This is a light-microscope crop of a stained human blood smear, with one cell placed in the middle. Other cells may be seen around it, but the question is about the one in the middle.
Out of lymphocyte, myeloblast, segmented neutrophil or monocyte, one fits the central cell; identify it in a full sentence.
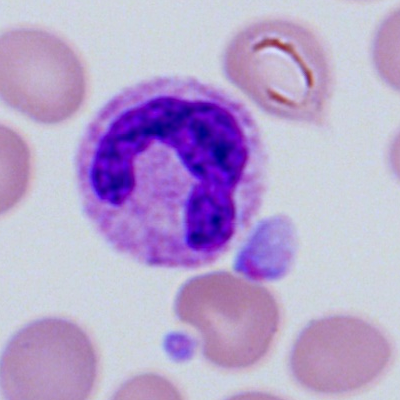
The cell positioned in the middle of the field is a segmented neutrophil.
